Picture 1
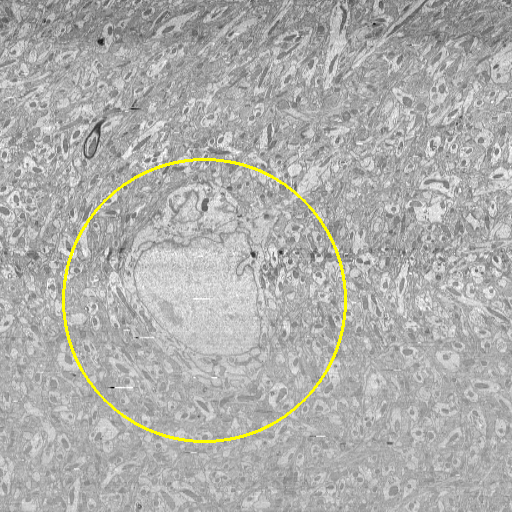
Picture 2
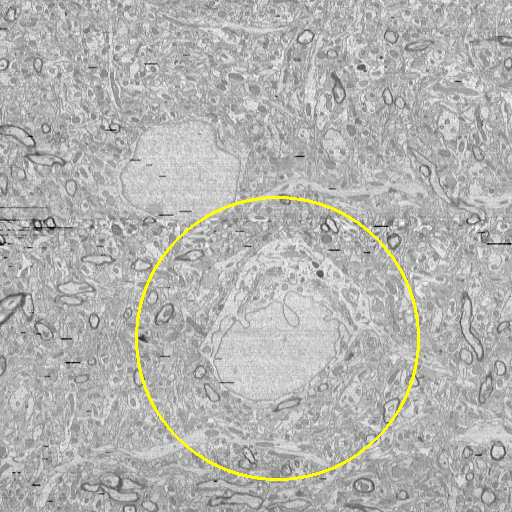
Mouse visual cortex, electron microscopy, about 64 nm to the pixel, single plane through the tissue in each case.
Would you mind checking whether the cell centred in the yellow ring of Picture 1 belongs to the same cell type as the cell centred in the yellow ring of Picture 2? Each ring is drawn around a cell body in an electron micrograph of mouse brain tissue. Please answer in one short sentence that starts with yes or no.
Yes, both cells are of the same type.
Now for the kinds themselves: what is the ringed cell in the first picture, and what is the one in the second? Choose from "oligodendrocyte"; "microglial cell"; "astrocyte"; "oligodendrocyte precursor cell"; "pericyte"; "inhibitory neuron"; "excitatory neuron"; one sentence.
Both cells are the same kind, each one being an inhibitory neuron.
